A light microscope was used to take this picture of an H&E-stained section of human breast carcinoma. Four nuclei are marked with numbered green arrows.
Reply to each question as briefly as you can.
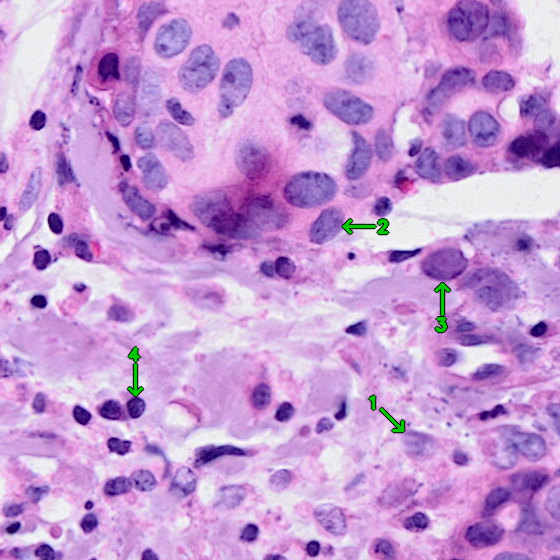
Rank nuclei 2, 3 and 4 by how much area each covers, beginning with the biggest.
3, 2, 4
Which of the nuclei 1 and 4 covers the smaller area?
4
